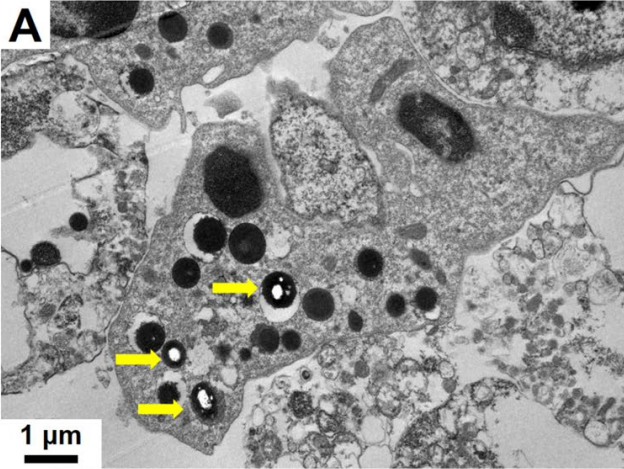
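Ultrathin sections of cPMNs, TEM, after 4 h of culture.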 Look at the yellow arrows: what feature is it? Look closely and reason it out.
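The arrows point at dark round bodies in the cytoplasm. Each of these contains a small bright, clear spot. Other dark round bodies nearby are uniformly dark.
Hence: Intracellular electron-dense structures with clear spaces.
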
